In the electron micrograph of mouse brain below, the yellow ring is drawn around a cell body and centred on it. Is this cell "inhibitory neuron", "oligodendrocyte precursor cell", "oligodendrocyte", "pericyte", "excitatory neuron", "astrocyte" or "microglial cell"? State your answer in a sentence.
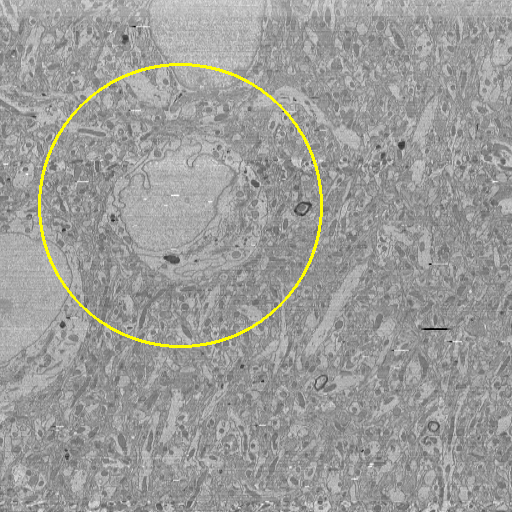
The cell in the middle of the ring is an inhibitory neuron.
